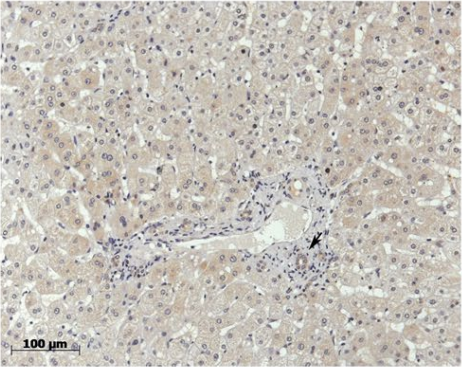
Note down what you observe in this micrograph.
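This is liver parenchyma with hepatocytes arranged in orderly plates separated by narrow sinusoidal spaces. The hepatocytes have pale brownish cytoplasm and round nuclei that are mostly blue. Across the lower middle runs a portal area with a vessel and a cluster of small dark-nucleated cells. An arrow marks a small structure within that portal area with some brown staining. Overall the lobular architecture appears regular.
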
